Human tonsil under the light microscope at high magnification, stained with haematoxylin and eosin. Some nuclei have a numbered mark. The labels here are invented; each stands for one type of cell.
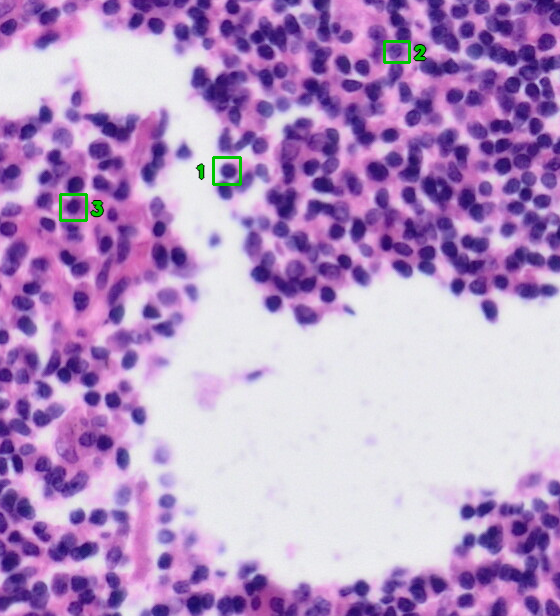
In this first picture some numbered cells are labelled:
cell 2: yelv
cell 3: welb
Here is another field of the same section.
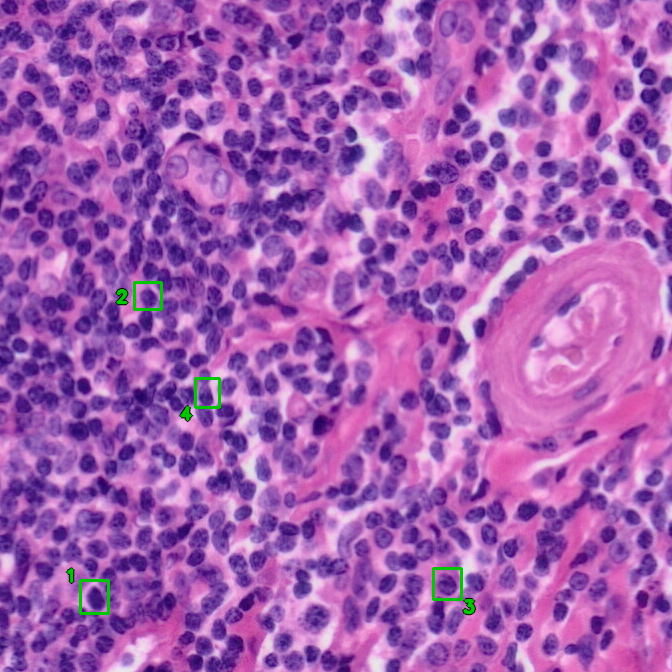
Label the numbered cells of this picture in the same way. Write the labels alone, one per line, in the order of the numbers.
yelv
yelv
welb
yelv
